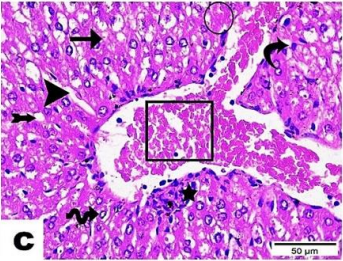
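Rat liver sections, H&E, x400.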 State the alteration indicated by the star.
Inflammatory cell infiltration.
